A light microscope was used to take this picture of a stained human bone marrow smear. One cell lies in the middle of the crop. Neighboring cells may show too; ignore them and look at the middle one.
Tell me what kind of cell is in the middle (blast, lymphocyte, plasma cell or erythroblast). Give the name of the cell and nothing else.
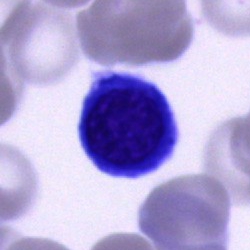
lymphocyte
